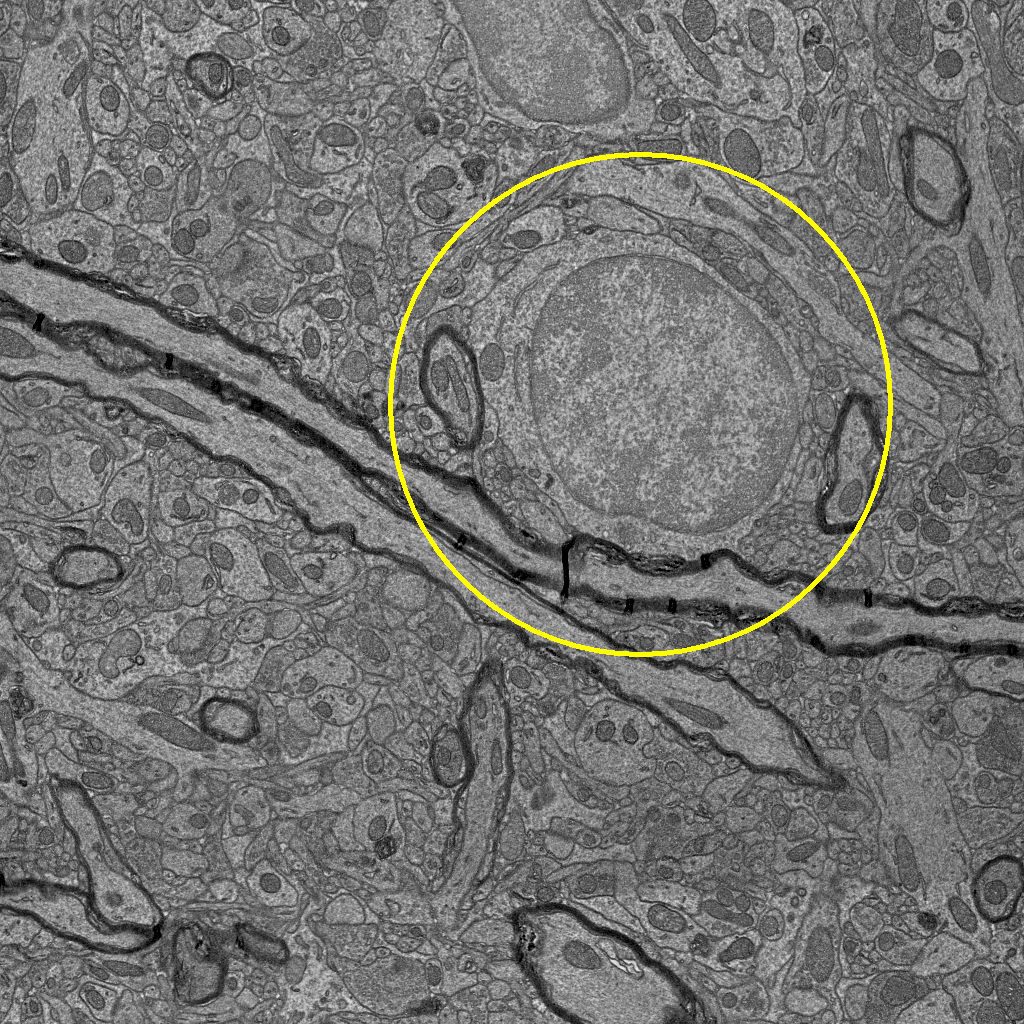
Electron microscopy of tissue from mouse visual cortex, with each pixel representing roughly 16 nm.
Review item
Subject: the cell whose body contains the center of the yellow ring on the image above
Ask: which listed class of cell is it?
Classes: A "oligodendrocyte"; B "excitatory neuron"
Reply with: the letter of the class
A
